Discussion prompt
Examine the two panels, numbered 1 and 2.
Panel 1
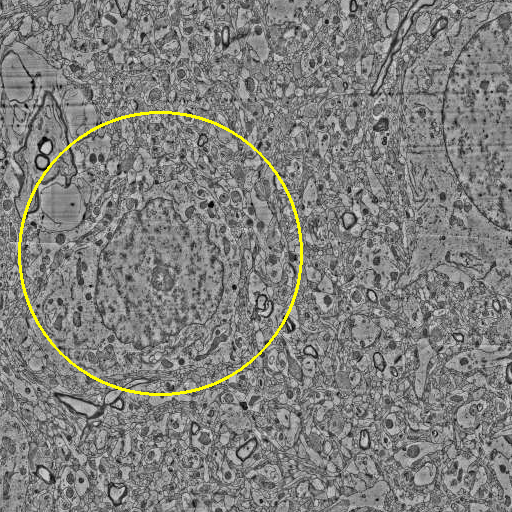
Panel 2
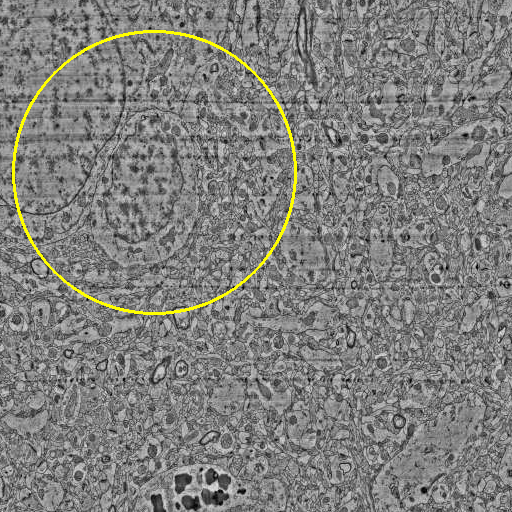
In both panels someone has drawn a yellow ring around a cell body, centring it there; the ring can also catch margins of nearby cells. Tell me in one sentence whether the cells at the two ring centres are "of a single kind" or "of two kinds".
Taken together, the two cells centred in the rings of Panels 1 and 2 are of a single kind.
